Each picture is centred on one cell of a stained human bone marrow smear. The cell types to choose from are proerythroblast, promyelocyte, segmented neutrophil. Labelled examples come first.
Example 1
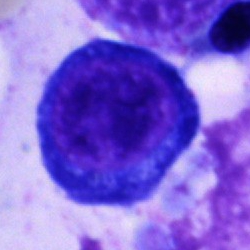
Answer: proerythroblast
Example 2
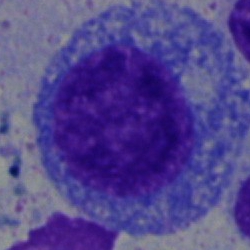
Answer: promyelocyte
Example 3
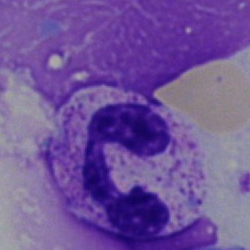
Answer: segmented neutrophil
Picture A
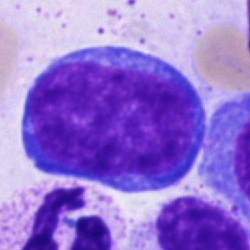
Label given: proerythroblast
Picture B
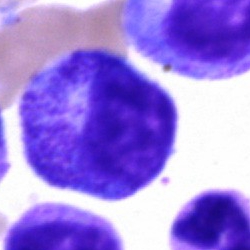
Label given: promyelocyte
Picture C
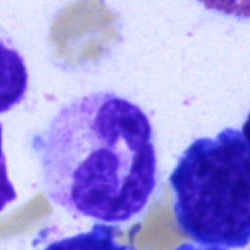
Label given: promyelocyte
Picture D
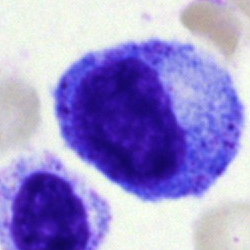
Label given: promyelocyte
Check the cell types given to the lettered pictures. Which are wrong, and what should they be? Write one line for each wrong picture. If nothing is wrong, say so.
C is labelled promyelocyte; correct label: segmented neutrophil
